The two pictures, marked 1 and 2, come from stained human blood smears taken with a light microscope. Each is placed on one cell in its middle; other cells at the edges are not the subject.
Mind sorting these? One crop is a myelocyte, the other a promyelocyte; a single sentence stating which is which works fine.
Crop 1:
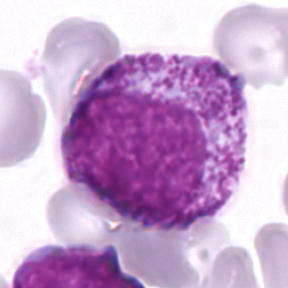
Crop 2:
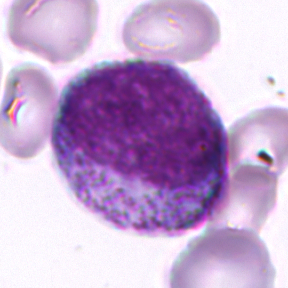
The cell at the middle is a myelocyte in crop 1, but a promyelocyte in crop 2.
